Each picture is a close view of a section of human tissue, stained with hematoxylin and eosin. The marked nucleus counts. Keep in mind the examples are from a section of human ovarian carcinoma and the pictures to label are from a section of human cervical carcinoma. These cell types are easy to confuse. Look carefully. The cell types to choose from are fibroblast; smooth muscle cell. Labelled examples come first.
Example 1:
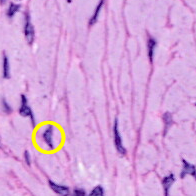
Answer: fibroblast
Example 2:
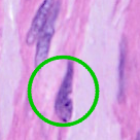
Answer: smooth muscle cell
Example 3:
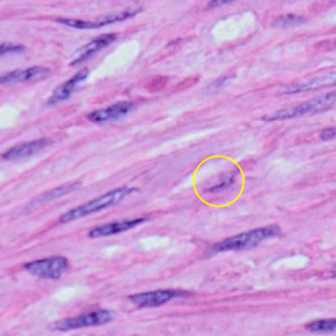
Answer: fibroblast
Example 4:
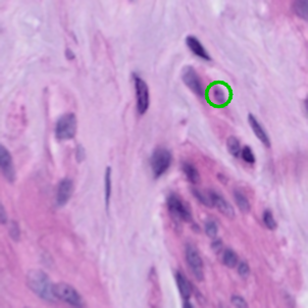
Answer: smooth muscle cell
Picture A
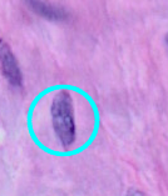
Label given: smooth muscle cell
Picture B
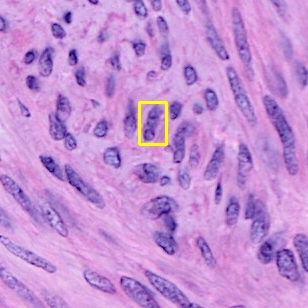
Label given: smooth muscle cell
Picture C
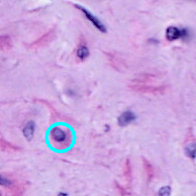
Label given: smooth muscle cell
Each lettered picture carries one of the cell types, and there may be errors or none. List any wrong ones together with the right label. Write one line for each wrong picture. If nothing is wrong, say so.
A: not smooth muscle cell but fibroblast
